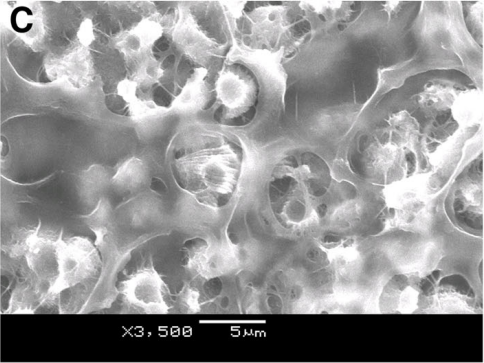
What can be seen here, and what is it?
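The rounded bodies, only a few micrometres across, rest in cup-shaped hollows, and several of them send out thin spiky or thread-like processes toward the surroundings. Between them lies a smooth, amorphous sheet-like matrix that forms ridges and walls enclosing the hollows, giving a honeycomb-like pattern. Some hollows appear empty or only partly filled. No layered arrangement is visible; the bodies are scattered irregularly through the matrix rather than forming an organized lining.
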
